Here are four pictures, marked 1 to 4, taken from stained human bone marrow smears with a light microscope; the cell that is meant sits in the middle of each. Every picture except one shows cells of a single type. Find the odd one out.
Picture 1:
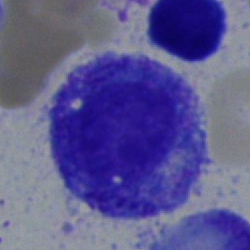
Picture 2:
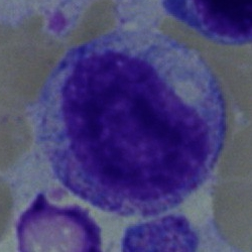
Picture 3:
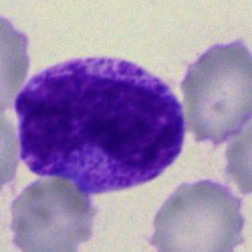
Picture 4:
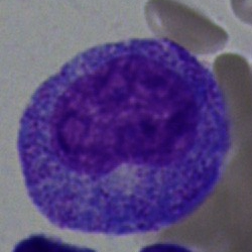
4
